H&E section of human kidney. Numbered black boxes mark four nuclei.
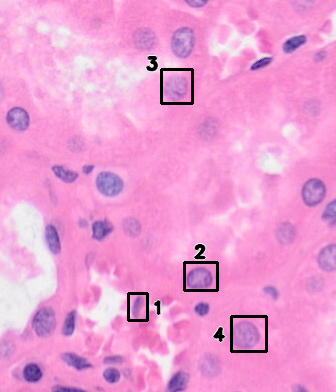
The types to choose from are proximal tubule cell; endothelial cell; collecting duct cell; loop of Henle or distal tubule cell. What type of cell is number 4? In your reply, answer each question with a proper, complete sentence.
Marked with the number 4, this cell is a proximal tubule cell.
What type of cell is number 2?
The cell to which the number 2 is assigned is a proximal tubule cell.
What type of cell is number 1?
The correct answer for cell 1 is an endothelial cell.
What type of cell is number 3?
The one labeled 3 is a proximal tubule cell, to put it simply.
